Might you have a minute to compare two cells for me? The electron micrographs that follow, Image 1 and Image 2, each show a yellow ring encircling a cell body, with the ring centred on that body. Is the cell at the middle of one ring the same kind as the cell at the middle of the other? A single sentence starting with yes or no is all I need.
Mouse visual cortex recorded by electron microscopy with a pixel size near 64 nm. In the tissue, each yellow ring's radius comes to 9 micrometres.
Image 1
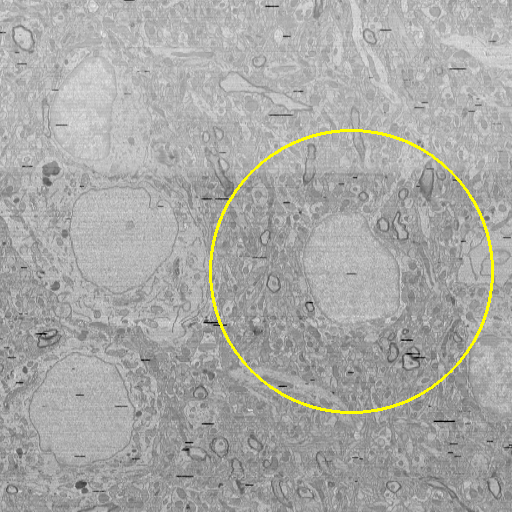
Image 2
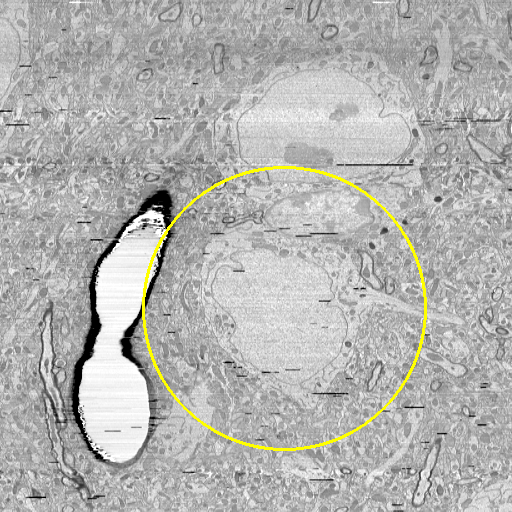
No, the cells in the middle of the two rings are of two separate kinds.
